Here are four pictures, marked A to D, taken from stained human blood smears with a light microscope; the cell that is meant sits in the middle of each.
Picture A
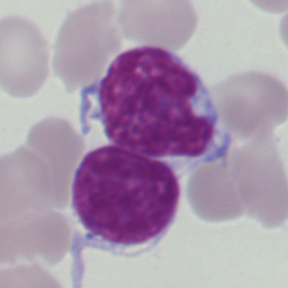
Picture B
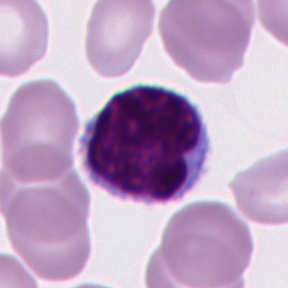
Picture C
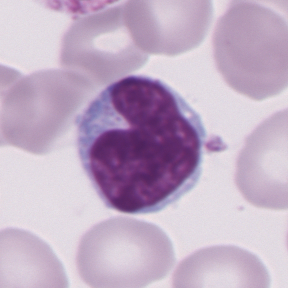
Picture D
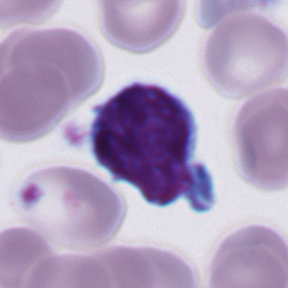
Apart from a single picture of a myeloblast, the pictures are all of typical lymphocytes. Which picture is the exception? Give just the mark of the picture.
A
